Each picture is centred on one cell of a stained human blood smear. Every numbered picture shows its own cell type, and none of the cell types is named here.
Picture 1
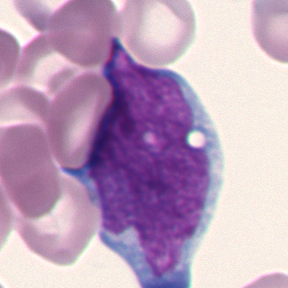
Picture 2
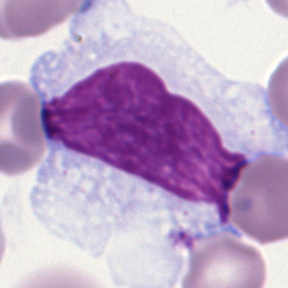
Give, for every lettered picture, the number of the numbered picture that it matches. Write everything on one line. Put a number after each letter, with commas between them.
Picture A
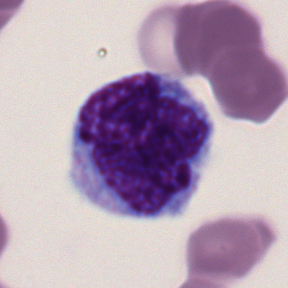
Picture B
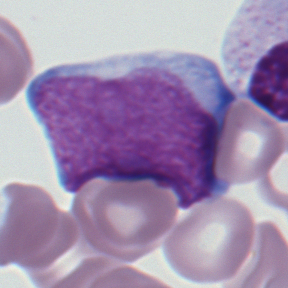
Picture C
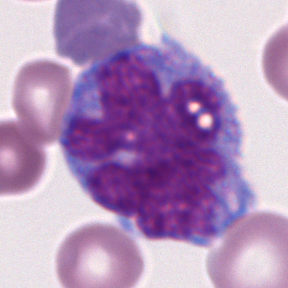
A 2, B 1, C 2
